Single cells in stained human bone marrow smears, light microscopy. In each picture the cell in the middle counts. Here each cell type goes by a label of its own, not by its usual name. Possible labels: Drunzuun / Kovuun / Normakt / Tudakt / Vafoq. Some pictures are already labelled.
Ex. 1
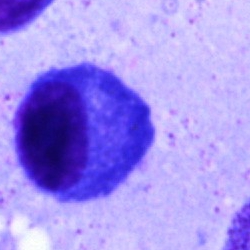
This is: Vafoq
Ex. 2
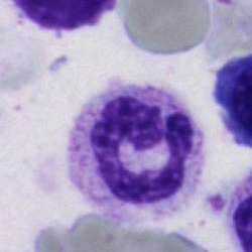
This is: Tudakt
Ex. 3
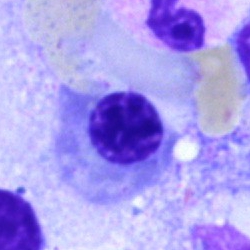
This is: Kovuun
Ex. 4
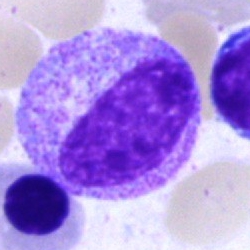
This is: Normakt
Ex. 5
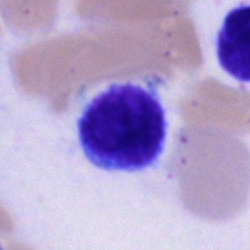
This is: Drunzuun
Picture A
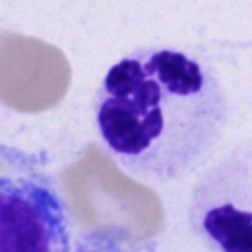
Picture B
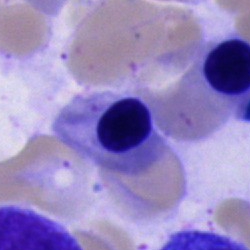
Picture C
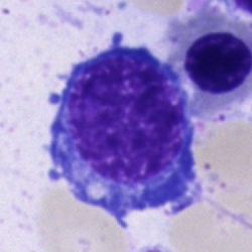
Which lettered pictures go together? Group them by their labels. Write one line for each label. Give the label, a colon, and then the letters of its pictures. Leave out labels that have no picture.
Kovuun: B, C
Tudakt: A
